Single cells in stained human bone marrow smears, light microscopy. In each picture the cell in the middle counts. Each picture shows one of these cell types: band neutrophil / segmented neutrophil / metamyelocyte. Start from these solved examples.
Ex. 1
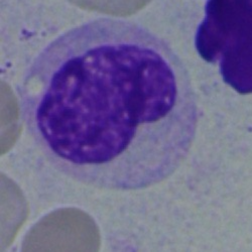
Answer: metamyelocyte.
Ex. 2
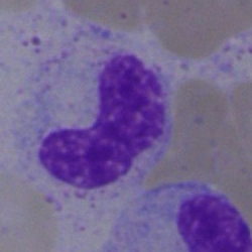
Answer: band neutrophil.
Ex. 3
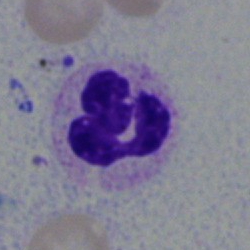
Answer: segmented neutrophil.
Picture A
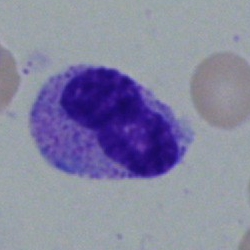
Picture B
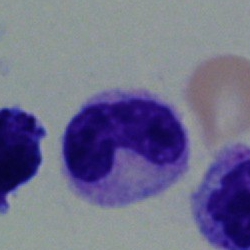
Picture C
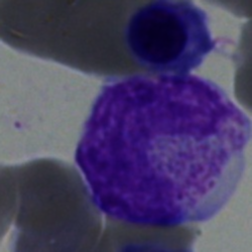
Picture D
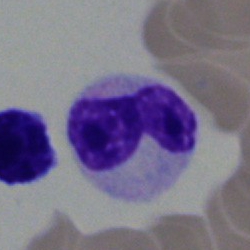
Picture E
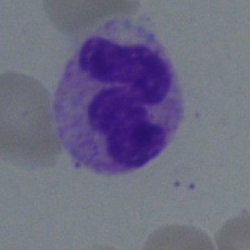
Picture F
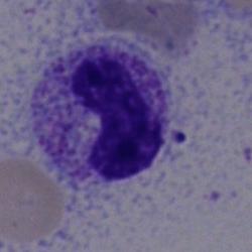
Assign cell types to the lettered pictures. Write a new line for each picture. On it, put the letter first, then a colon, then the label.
A: metamyelocyte.
B: band neutrophil.
C: band neutrophil.
D: band neutrophil.
E: segmented neutrophil.
F: band neutrophil.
